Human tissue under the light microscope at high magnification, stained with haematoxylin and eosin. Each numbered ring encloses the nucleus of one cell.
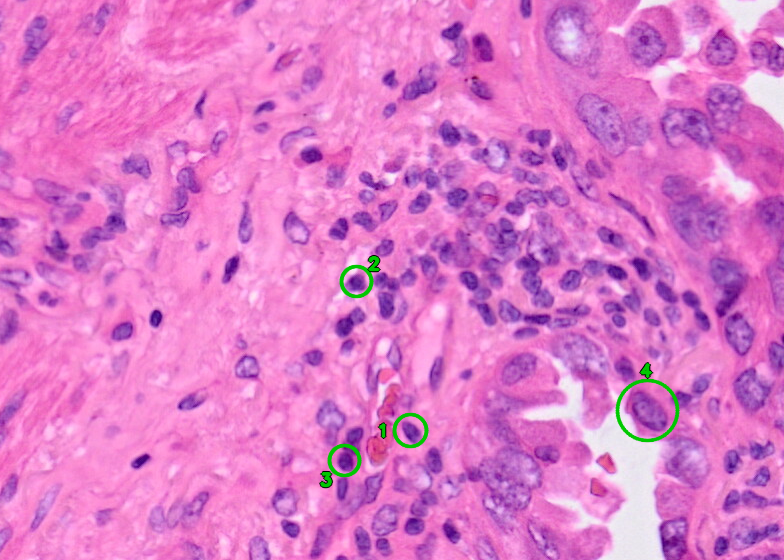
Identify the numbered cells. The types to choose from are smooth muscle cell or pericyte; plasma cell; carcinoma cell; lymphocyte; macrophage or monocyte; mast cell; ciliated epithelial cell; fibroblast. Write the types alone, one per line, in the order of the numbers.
lymphocyte
lymphocyte
lymphocyte
carcinoma cell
